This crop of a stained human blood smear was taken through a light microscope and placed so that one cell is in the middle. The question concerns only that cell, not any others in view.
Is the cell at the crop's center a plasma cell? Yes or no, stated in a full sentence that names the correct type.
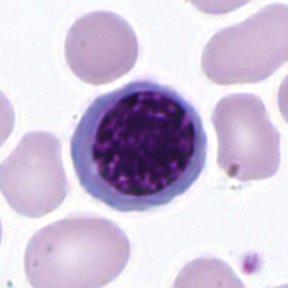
No, that is not a plasma cell; the middle cell is an erythroblast.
